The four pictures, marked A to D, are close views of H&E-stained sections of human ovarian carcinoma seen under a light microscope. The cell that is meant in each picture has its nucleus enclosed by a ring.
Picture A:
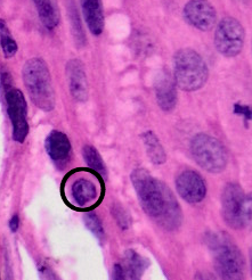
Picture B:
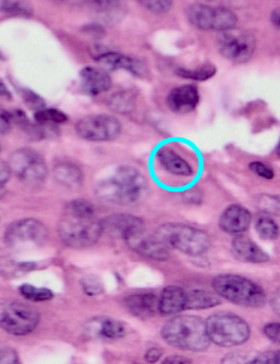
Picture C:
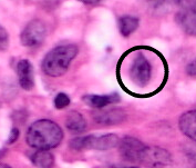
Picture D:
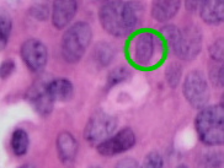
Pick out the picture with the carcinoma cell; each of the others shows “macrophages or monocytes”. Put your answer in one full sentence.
The picture with the carcinoma cell is D.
